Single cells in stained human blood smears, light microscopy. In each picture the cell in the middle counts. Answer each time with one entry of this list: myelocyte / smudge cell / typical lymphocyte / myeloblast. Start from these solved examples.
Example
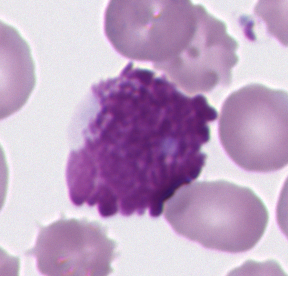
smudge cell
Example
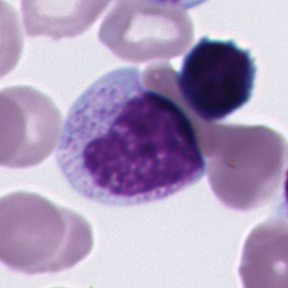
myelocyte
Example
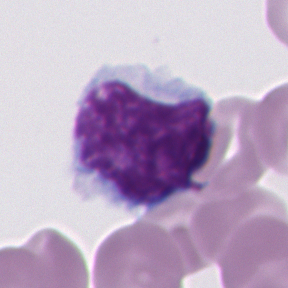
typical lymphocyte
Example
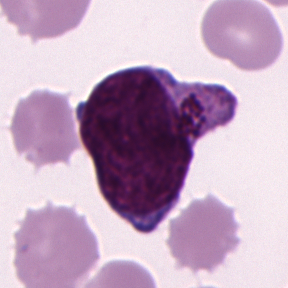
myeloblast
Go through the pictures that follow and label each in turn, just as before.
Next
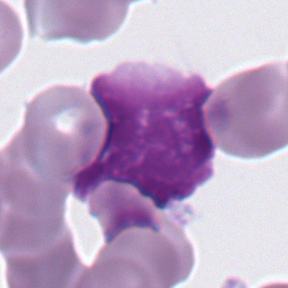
smudge cell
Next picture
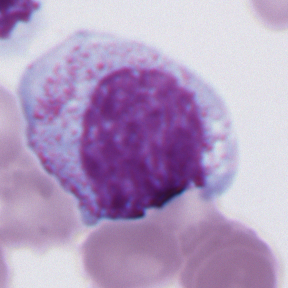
myelocyte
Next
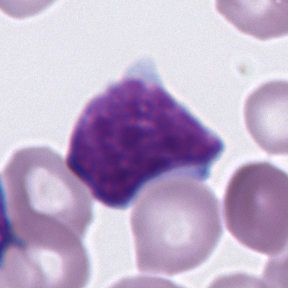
myeloblast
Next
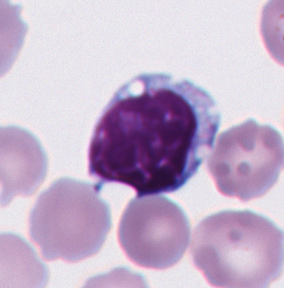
typical lymphocyte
